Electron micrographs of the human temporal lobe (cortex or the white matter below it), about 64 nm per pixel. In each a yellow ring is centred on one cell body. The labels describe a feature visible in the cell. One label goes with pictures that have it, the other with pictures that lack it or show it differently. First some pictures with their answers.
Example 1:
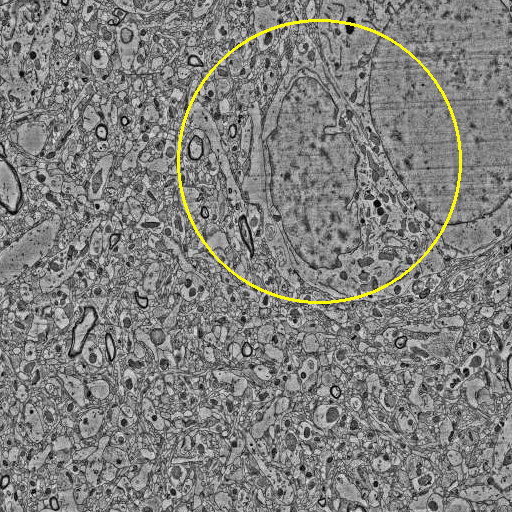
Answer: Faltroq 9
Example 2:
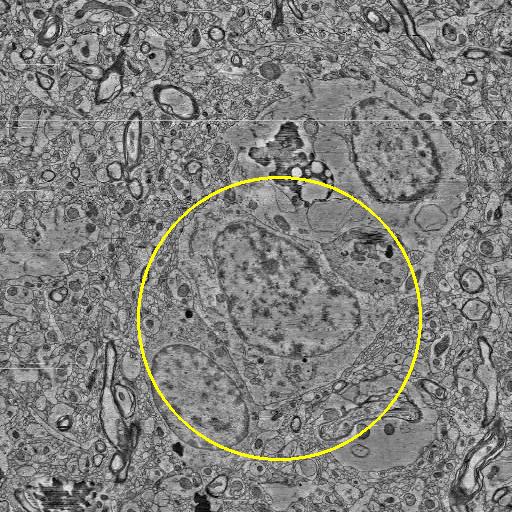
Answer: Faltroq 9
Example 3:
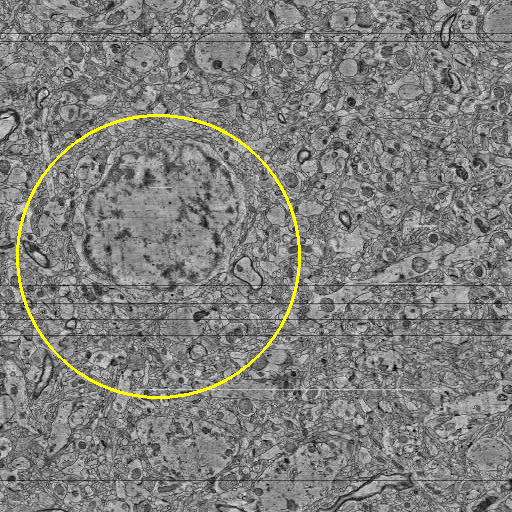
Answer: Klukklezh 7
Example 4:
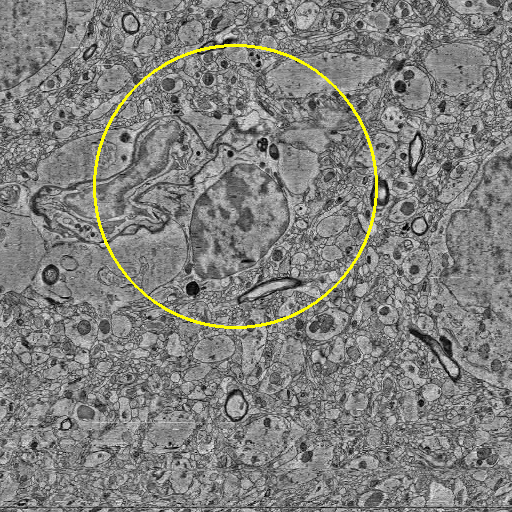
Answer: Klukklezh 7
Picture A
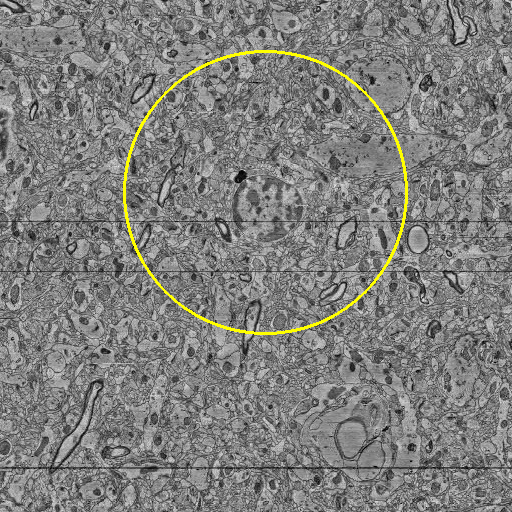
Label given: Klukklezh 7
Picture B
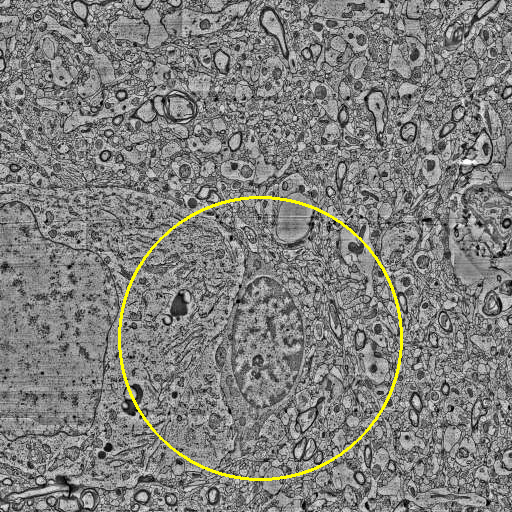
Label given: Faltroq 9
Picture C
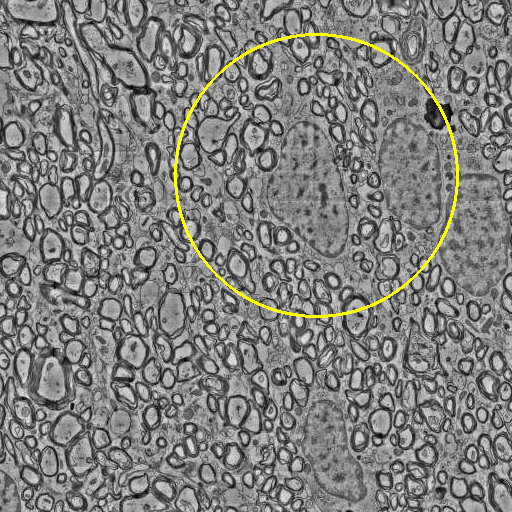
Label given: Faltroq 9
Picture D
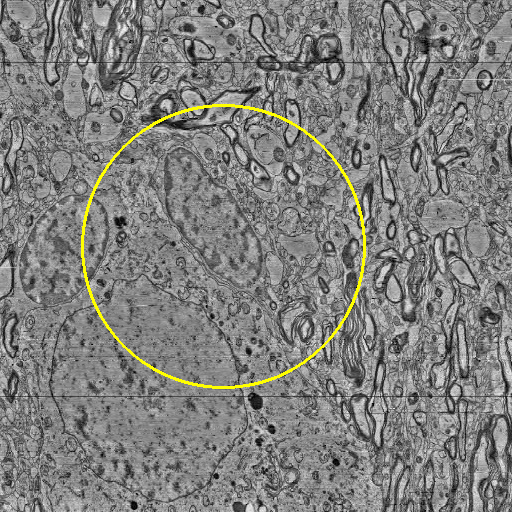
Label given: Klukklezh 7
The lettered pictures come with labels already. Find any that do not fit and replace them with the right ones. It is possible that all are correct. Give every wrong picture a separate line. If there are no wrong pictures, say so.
D should be Faltroq 9, not Klukklezh 7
